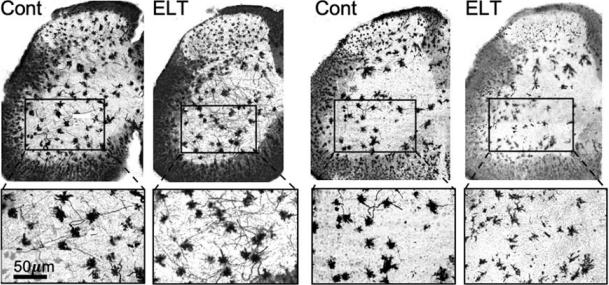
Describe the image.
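Sections of spinal cord gray matter in which neurons are impregnated black, showing their cell bodies and branching dendrites against a pale background. In the rightmost section the overall staining is paler and the neurons look smaller and more sparsely branched.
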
